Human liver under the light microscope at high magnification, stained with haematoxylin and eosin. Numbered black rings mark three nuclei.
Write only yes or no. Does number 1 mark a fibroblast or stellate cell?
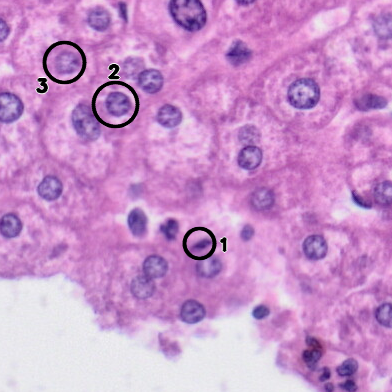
yes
